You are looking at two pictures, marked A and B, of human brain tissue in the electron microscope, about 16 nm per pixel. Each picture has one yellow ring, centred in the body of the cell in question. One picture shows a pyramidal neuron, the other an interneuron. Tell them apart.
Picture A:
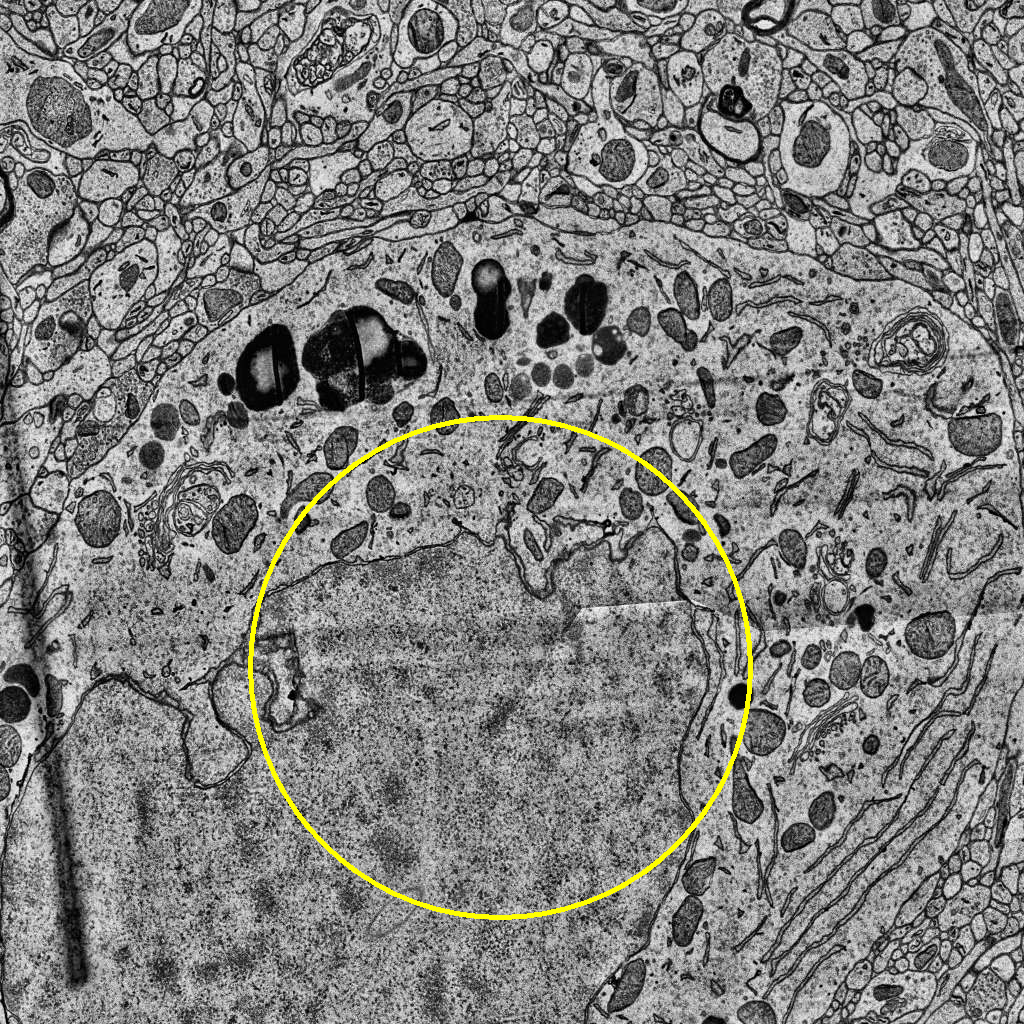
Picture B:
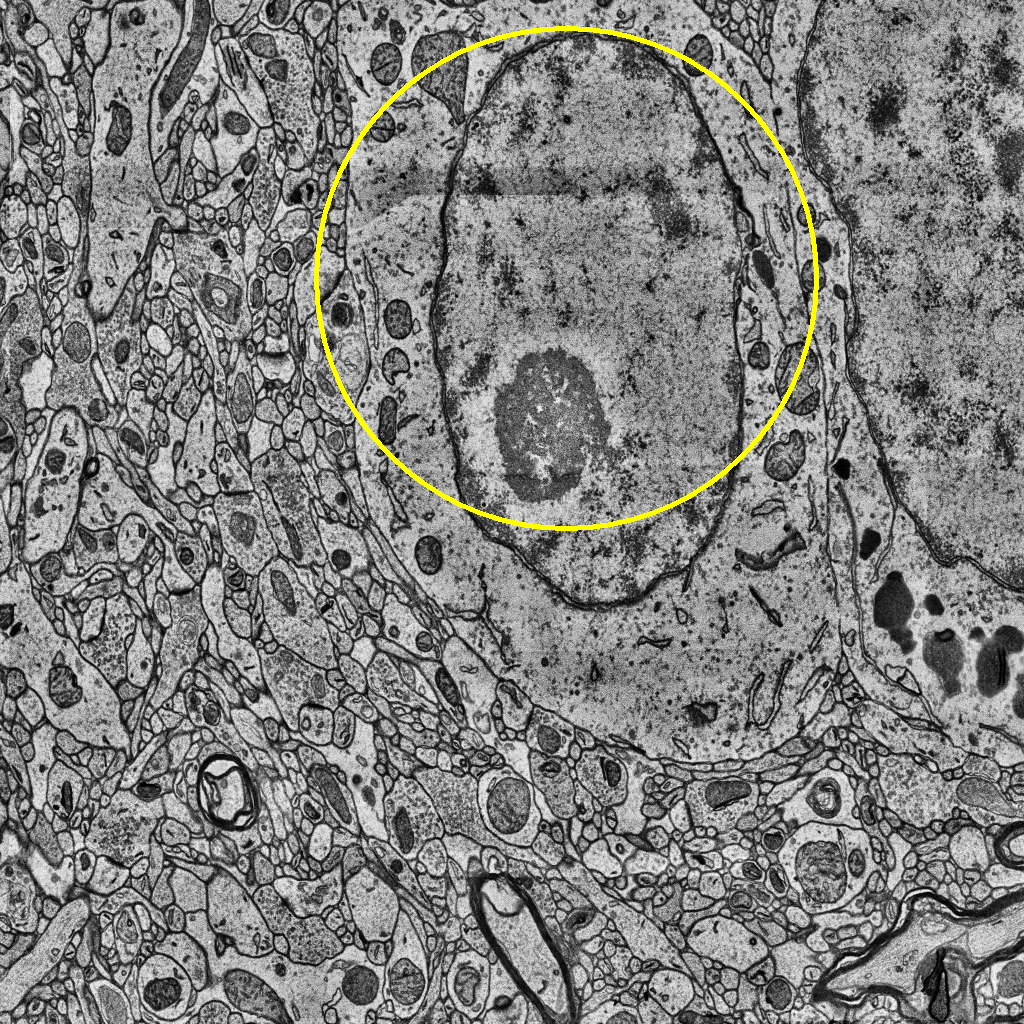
Picture B shows a pyramidal neuron, while picture A shows an interneuron.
